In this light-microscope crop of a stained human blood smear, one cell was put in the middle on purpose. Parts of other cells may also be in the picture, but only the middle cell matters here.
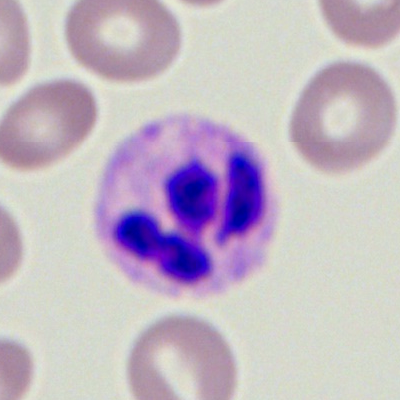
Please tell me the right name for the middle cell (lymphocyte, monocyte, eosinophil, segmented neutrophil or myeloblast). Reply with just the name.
segmented neutrophil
